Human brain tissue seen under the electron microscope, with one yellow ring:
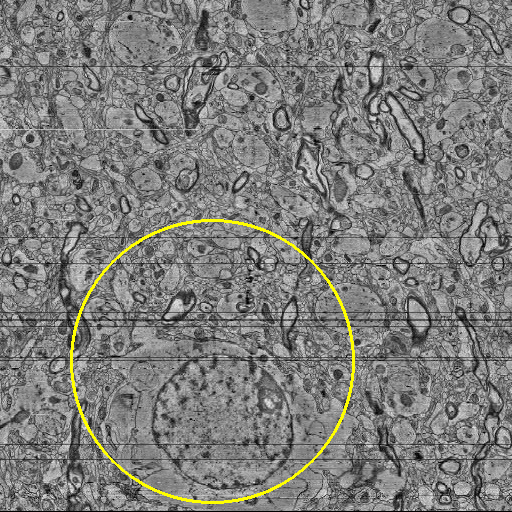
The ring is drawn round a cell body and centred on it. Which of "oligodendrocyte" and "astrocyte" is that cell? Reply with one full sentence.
The picture shows an astrocyte at the very centre of the yellow ring.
